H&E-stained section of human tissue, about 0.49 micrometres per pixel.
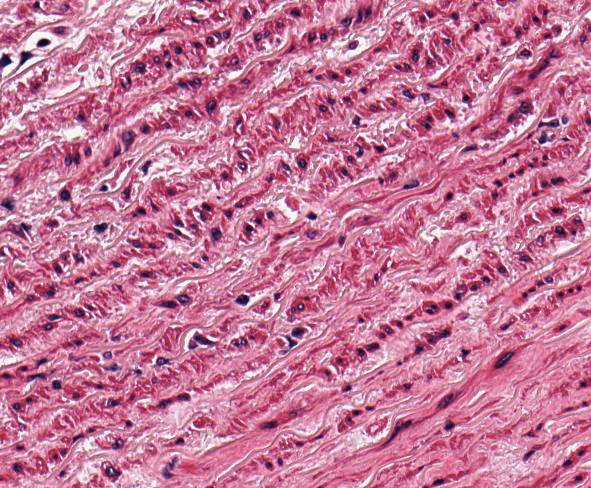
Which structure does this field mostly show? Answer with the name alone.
tunica media of an artery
